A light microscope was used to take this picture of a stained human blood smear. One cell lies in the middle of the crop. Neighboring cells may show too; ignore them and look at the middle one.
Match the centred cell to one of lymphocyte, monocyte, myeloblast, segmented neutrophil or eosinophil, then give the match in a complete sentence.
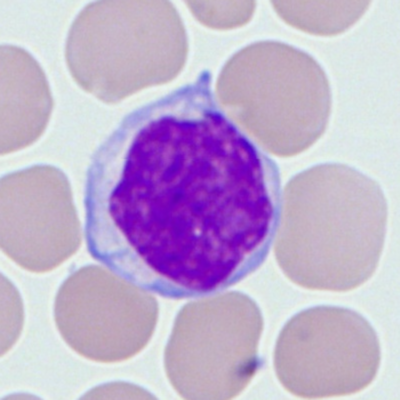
At the crop's centre, the cell is a lymphocyte.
